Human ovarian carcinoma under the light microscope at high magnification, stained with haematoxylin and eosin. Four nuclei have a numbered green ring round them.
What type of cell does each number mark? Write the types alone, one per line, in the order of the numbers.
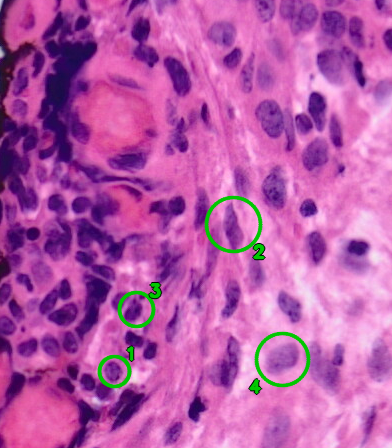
macrophage or monocyte
fibroblast
macrophage or monocyte
fibroblast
